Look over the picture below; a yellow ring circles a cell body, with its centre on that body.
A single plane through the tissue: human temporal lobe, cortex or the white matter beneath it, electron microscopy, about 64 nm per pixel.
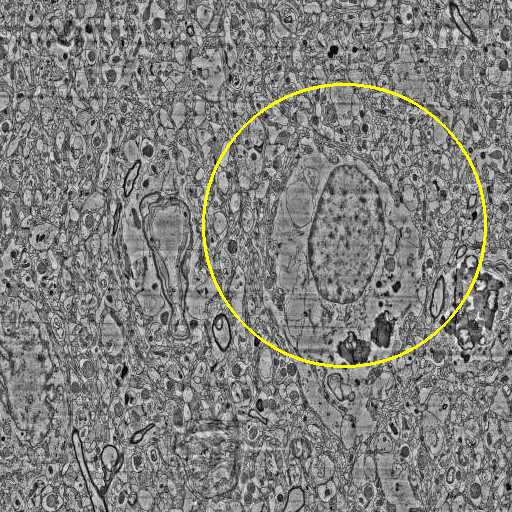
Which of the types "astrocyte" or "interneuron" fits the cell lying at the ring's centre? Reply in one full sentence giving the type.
The picture shows an astrocyte at the centre of the yellow ring.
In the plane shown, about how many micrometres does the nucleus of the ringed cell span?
The nucleus is about 9 micrometres in length and 5 in width, clearly longer than it is wide in this plane.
